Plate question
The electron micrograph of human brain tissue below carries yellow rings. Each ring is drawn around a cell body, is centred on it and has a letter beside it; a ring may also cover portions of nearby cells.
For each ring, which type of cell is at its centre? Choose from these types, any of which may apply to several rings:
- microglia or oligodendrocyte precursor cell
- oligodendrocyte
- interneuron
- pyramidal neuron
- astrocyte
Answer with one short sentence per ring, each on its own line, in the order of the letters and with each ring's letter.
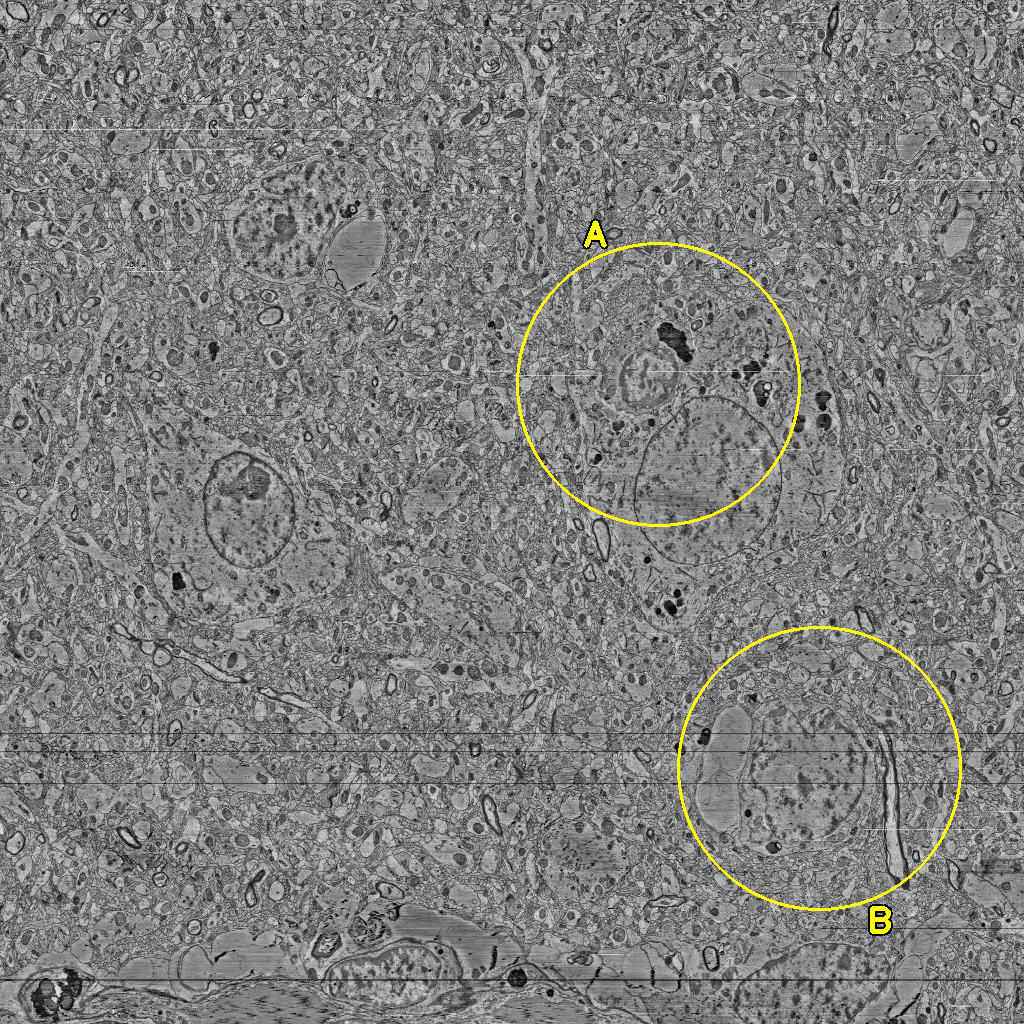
The cell ringed as A is an oligodendrocyte.
The cell ringed as B is an interneuron.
